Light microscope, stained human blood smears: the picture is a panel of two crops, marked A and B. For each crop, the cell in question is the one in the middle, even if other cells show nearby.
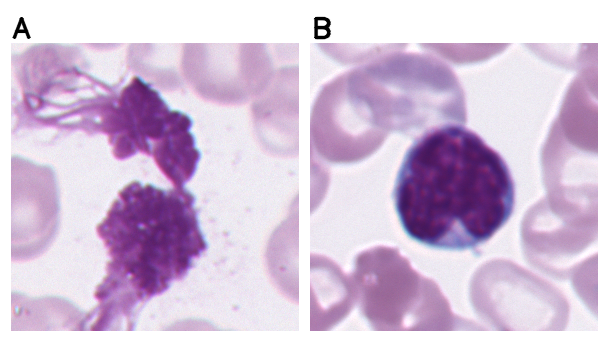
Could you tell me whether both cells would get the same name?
no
